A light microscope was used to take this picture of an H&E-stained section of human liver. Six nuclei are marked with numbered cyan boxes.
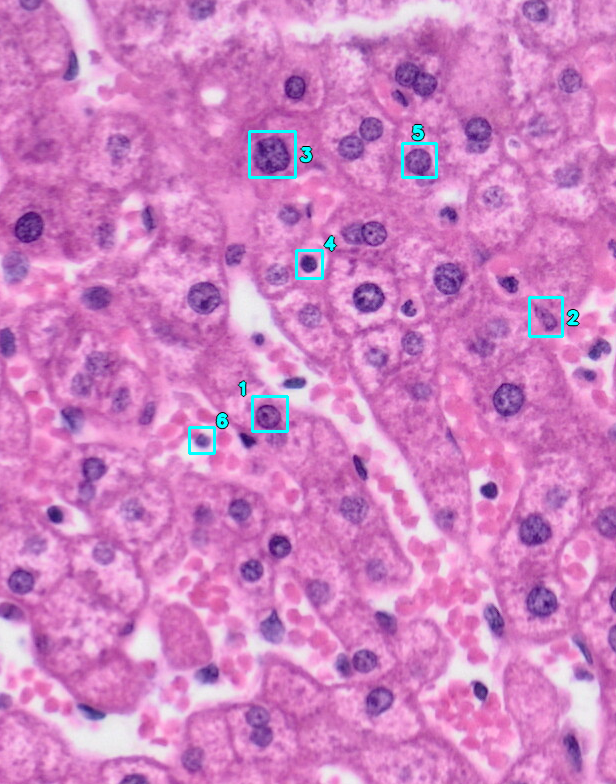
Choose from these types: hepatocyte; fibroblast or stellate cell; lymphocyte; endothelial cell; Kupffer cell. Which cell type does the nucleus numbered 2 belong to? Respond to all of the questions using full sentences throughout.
The nucleus labelled 2 belongs to a Kupffer cell.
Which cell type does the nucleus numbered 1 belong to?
In this section, the cell numbered 1 is a hepatocyte.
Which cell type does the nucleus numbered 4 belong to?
The cell carrying label 4 is identified as a lymphocyte.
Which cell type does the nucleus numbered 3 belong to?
Cell 3 is classified as a hepatocyte.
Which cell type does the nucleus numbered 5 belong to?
Cell 5 in the field of view is a hepatocyte.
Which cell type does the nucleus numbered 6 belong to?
The cell whose nucleus carries the number 6 is a lymphocyte.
